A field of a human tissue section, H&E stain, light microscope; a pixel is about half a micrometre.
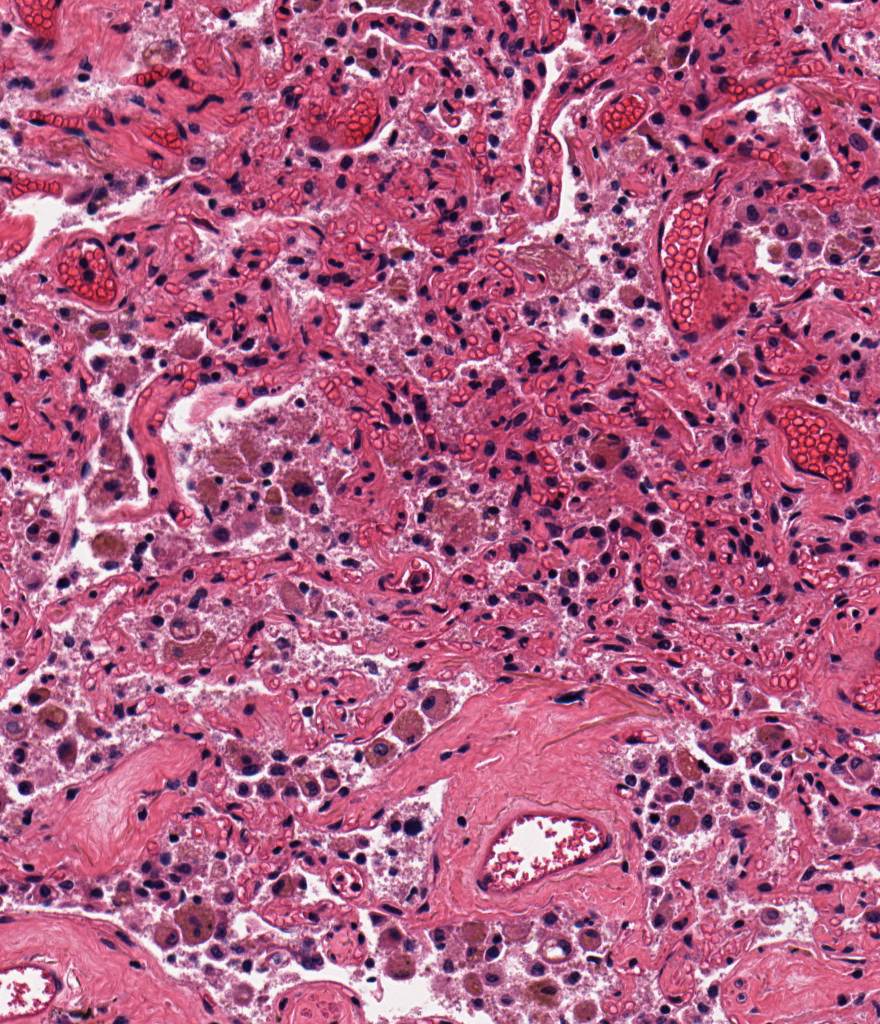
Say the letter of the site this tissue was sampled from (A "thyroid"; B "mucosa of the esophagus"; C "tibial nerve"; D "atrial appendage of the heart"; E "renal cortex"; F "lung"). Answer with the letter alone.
F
